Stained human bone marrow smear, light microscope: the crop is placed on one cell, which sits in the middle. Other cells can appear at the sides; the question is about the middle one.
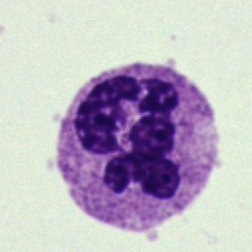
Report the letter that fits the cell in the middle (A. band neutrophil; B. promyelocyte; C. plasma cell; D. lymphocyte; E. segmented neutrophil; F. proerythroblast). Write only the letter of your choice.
E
